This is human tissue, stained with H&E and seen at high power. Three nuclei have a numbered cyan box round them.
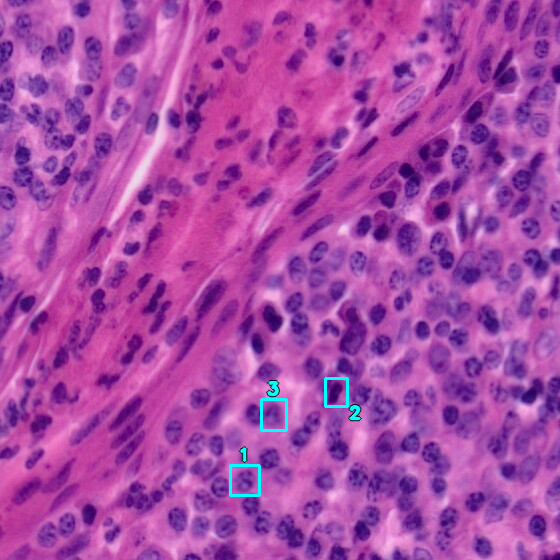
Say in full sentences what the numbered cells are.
Cell 1 is a plasma cell, cell 2 is a squamous epithelial cell and cell 3 is a plasma cell.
